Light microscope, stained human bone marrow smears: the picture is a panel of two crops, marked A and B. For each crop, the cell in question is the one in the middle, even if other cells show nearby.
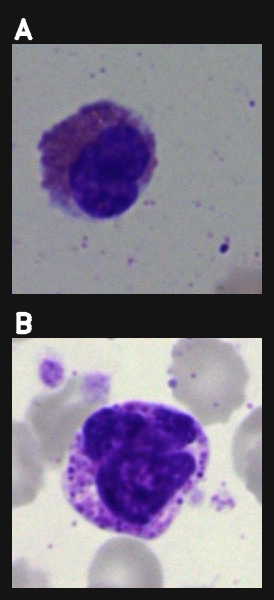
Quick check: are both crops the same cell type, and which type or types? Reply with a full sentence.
No, the cell in crop A is an eosinophil and the one in crop B is a basophil.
